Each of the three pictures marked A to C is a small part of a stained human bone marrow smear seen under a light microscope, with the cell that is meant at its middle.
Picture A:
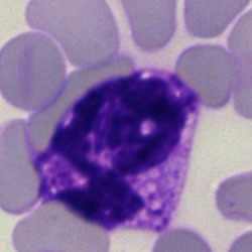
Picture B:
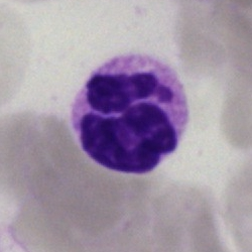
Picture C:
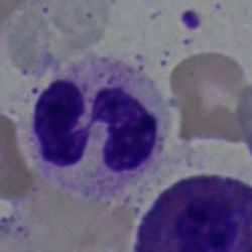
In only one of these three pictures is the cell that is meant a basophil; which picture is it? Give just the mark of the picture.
A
